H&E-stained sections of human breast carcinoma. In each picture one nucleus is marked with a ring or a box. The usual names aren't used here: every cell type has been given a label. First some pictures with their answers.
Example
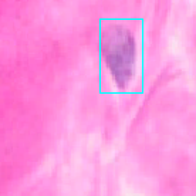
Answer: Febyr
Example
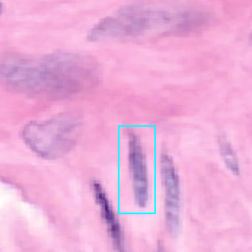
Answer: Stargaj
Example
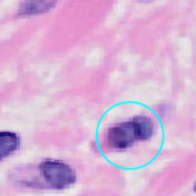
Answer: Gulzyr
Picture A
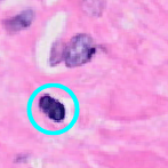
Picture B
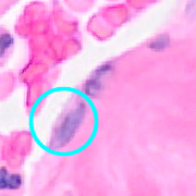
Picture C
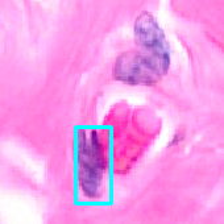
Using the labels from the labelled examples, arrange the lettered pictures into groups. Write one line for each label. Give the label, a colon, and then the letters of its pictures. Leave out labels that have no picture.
Stargaj: B, C
Gulzyr: A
